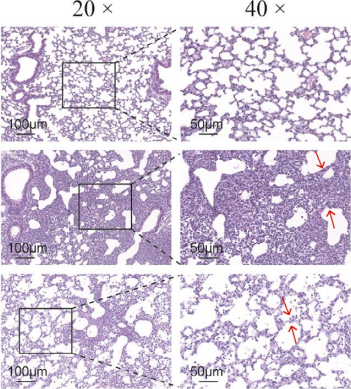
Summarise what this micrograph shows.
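Lung tissue in haematoxylin and eosin, three rows of paired low- and higher-magnification fields. The top row shows open alveoli with thin septa and a few airway and vessel profiles. In the middle row the alveolar walls are broadened and hypercellular with many purple nuclei, and the air spaces are fewer and irregular. The bottom row shows a looser pattern with more open alveoli and less septal thickening than the middle row.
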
